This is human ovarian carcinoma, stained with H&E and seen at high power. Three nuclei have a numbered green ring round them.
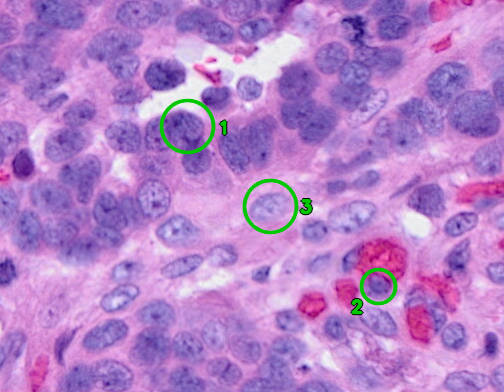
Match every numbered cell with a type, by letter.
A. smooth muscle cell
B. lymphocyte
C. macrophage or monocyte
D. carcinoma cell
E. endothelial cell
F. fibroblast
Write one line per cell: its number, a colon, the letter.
1: D
2: E
3: F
